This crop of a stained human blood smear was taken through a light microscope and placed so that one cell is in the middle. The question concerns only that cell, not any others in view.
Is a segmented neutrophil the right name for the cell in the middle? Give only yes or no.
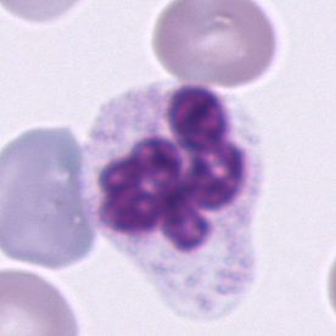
yes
